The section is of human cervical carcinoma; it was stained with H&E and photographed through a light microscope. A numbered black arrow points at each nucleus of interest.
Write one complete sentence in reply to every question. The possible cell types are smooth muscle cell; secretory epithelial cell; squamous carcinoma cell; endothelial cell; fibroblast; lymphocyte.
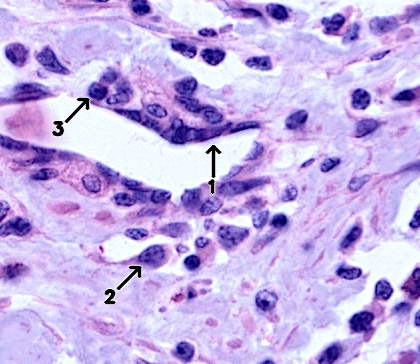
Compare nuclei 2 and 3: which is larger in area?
Of the two, number 2 is bigger and takes up about 2 times the area of number 3.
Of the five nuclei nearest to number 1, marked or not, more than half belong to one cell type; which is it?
Around number 1, most of the five nearest nuclei are those of endothelial cells.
